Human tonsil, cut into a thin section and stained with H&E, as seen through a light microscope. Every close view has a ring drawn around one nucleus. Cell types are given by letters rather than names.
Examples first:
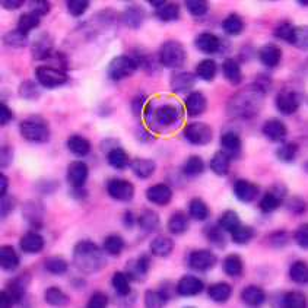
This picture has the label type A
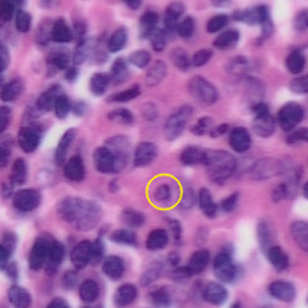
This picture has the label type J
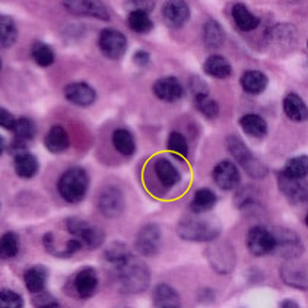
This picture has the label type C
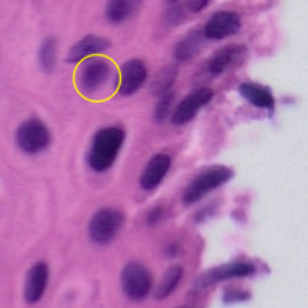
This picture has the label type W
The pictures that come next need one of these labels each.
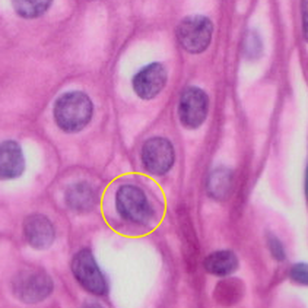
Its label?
type W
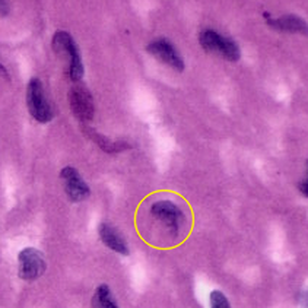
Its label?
type W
